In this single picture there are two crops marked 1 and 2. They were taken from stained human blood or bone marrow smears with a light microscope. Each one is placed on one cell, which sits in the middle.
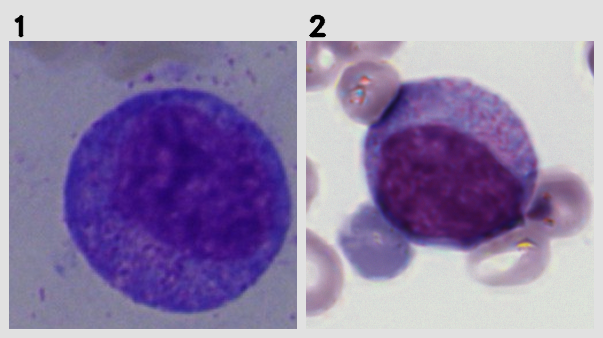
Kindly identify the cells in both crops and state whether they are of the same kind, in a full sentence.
Yes, the centre cells of both crops are promyelocytes.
